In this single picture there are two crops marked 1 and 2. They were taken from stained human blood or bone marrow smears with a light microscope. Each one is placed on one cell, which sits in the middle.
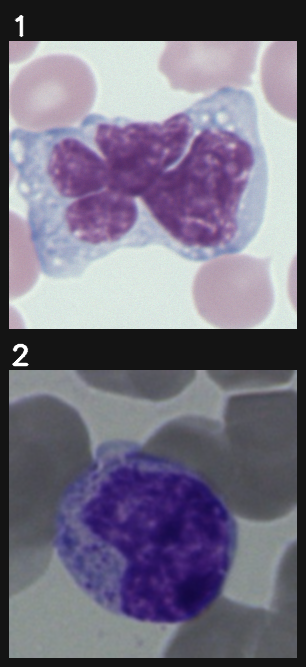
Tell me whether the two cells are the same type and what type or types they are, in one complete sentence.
No, crop 1 is of a monocyte, and crop 2 is of a metamyelocyte.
